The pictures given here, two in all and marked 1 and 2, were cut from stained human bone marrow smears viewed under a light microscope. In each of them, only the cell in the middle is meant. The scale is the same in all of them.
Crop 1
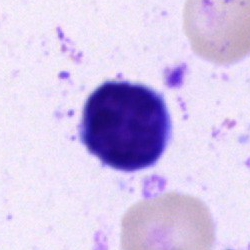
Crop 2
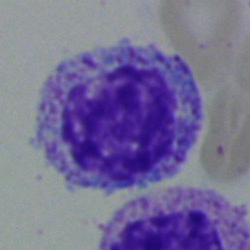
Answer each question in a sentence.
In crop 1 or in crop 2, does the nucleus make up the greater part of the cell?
In crop 1 the nucleus takes up the larger part of its cell.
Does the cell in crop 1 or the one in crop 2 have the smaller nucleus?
Crop 1 shows the smaller nucleus, since that in crop 2 covers about 2 times as much area.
